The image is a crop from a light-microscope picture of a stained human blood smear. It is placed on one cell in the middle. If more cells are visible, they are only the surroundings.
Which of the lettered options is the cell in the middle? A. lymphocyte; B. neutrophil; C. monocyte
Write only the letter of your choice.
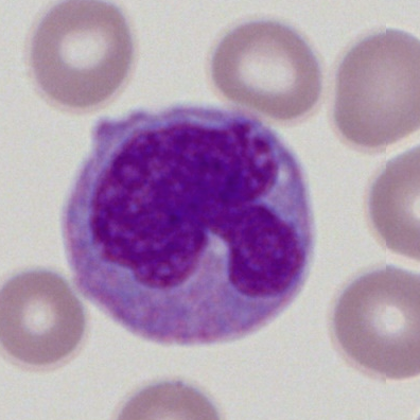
C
